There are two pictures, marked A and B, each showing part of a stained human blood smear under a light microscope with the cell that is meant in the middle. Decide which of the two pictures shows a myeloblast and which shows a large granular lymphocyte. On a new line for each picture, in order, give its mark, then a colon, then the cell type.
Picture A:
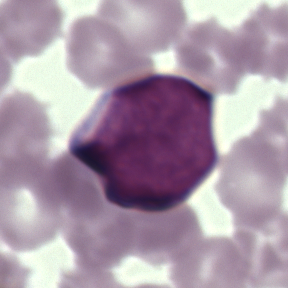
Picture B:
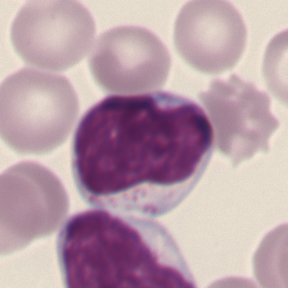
A: myeloblast
B: large granular lymphocyte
